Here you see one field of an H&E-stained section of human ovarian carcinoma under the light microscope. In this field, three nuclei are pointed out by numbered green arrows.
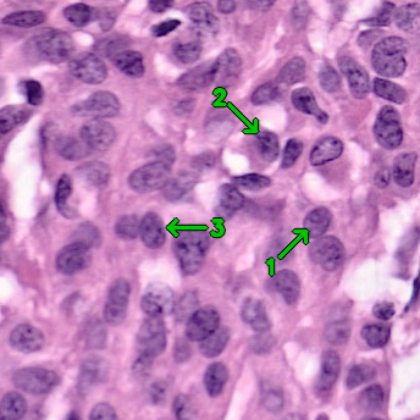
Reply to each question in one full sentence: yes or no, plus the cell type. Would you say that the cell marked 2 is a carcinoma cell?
No, the right label for cell 2 is a macrophage or monocyte rather than a carcinoma cell.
